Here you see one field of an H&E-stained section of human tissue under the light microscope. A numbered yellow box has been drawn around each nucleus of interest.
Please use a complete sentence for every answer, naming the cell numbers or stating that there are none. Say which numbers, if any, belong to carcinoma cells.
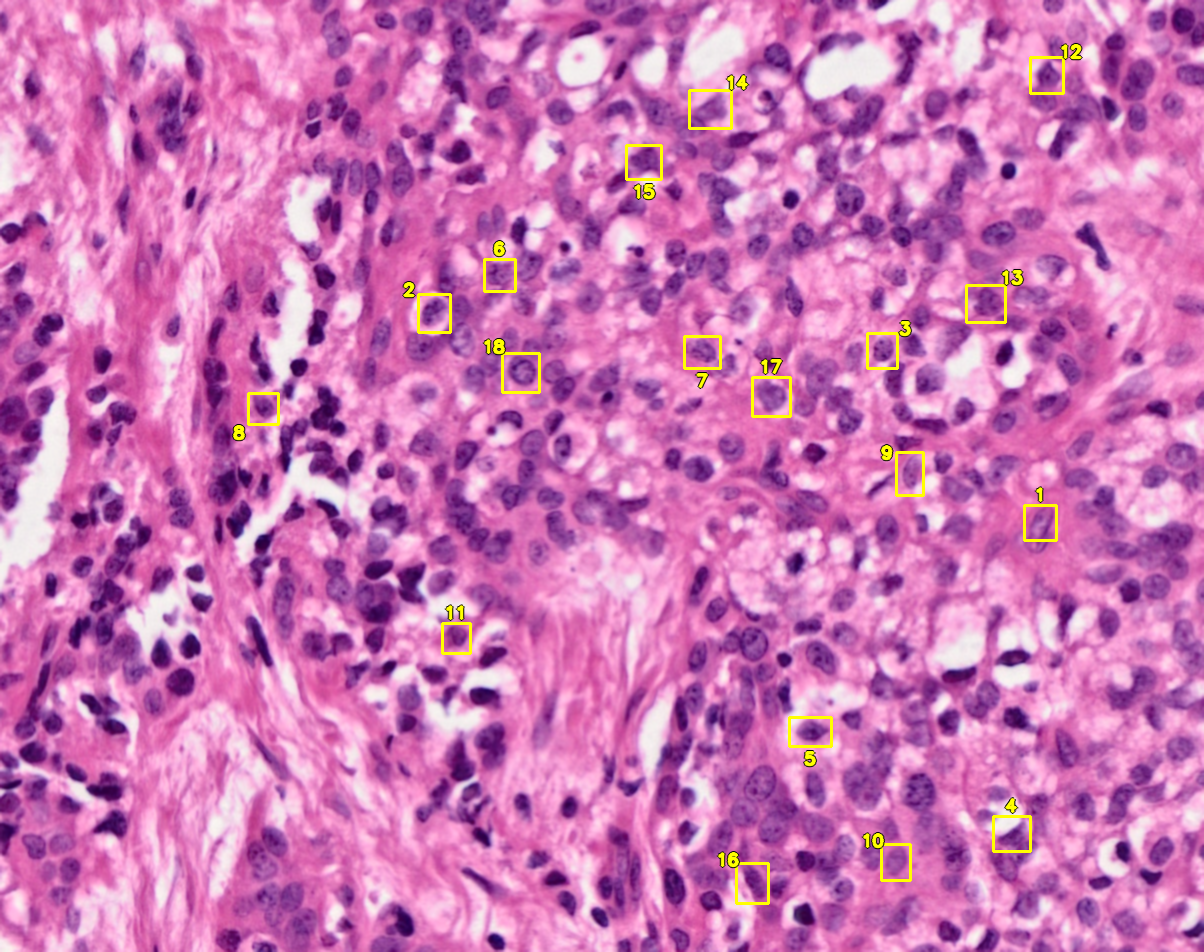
The cells bearing the numbers 4, 6, 10, 12, 13, 14, 15, 16, 17 and 18 are carcinoma cells.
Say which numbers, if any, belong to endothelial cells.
There is just one numbered cell that is an endothelial cell, and it is cell 1.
